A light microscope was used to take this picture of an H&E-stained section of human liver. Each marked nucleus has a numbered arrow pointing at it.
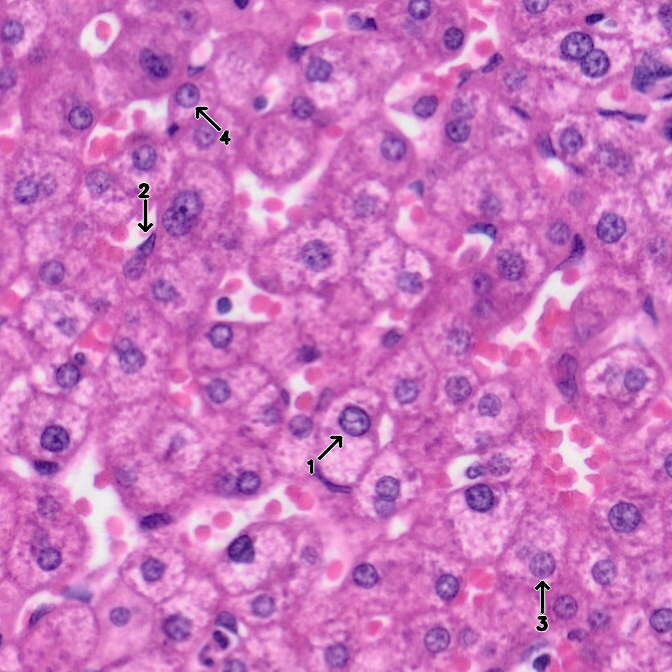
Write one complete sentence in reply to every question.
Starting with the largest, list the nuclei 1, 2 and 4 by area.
The nuclei rank 1, 4, 2, from largest to smallest.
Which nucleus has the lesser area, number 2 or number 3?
Nucleus 2 is the smaller one; nucleus 3 covers about 2 times its area.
